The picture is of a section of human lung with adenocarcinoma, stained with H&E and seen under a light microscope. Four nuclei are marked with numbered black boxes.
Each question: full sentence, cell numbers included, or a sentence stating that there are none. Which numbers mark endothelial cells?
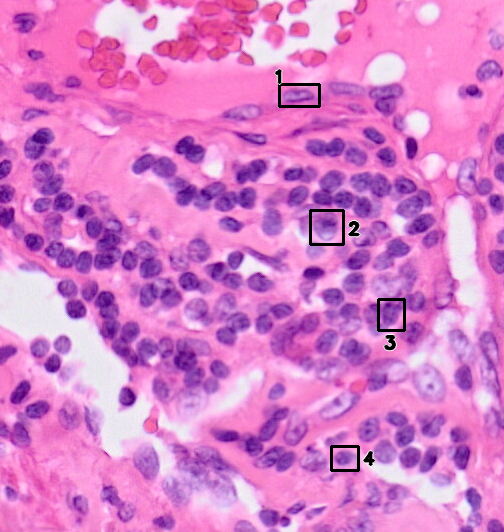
Only the nucleus marked 1 is that of an endothelial cell.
